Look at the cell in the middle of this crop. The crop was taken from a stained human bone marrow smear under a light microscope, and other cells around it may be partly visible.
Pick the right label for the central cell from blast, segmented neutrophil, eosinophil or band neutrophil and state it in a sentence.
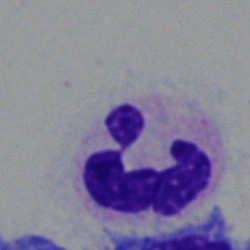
Centrally within this crop lies a segmented neutrophil.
